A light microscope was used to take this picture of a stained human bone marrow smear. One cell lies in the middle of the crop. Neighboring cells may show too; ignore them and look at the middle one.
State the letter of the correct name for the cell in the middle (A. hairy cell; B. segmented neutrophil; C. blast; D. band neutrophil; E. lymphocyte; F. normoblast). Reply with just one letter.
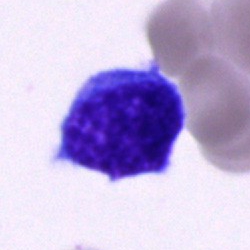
C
